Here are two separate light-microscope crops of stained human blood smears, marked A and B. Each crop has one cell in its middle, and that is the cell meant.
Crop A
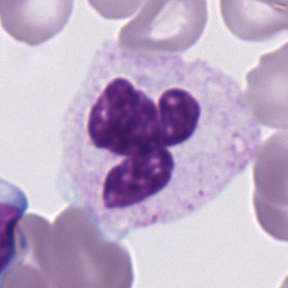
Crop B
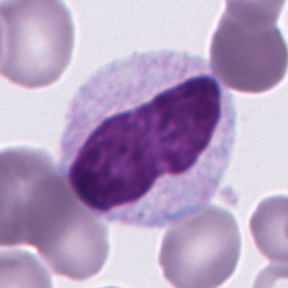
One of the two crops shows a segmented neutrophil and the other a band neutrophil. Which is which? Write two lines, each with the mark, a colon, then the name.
A: segmented neutrophil
B: band neutrophil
